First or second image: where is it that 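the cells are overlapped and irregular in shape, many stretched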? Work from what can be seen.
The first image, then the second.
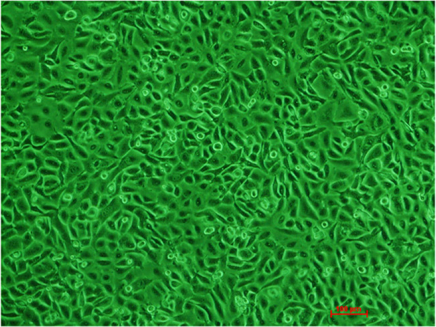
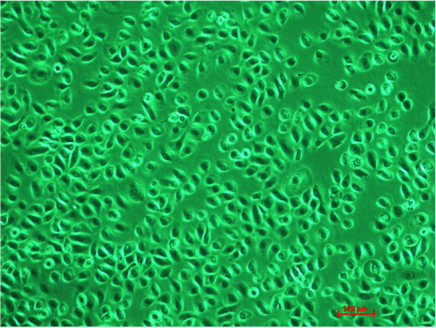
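The first image. Second image: cells are rounded polygonal, separate, with gaps between them.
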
